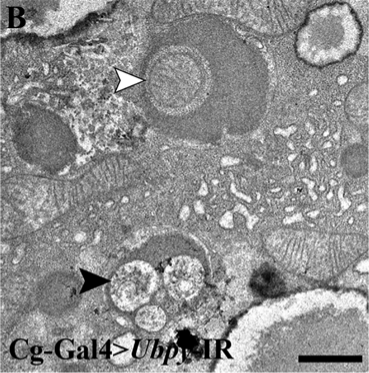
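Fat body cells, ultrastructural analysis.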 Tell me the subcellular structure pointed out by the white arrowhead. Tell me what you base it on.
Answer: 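A round vesicle encloses an intact-looking organelle with cristae-like internal membranes. The enclosed material is not broken down into debris. On this evidence: autophagosomes whith non-degraded organelles.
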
